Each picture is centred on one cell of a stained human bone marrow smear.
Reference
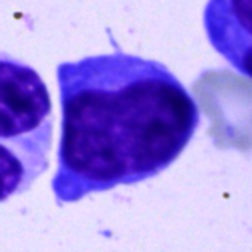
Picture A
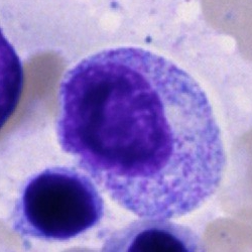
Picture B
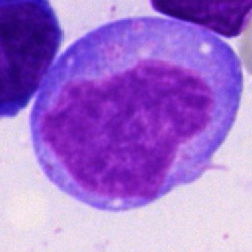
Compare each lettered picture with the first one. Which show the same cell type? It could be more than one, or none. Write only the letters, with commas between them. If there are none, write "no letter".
B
